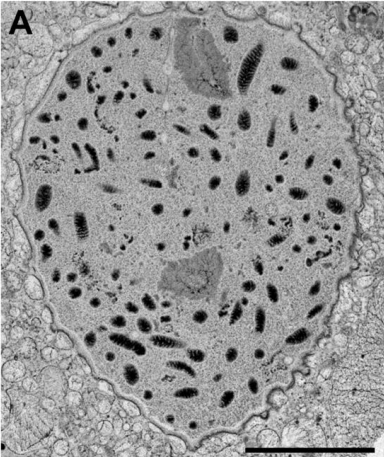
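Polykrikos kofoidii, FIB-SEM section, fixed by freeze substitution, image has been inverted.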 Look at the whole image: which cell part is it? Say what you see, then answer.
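A large round body bounded by an envelope fills the field. Many dark condensed rod-like and oval bodies are scattered inside it.
Answer: nucleus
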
